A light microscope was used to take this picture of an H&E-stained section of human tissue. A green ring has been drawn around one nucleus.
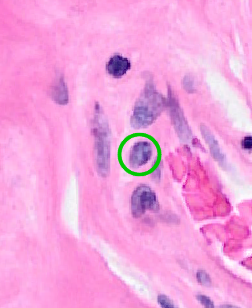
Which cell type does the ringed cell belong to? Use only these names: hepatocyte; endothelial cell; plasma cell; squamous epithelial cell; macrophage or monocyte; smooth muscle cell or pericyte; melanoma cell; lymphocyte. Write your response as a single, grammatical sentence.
As classified here, the ringed cell is an endothelial cell.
